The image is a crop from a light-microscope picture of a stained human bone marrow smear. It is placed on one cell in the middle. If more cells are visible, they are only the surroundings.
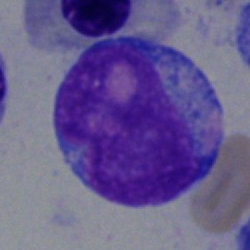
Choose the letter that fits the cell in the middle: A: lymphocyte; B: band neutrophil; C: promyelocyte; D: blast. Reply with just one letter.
D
